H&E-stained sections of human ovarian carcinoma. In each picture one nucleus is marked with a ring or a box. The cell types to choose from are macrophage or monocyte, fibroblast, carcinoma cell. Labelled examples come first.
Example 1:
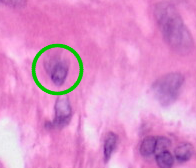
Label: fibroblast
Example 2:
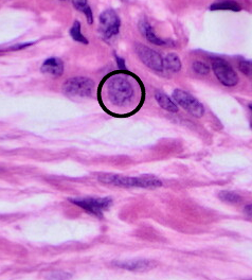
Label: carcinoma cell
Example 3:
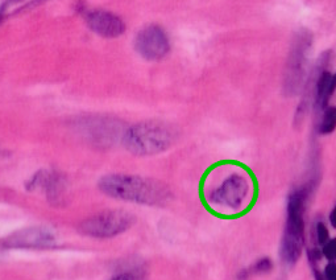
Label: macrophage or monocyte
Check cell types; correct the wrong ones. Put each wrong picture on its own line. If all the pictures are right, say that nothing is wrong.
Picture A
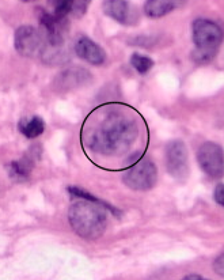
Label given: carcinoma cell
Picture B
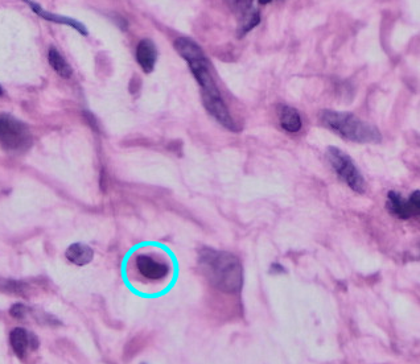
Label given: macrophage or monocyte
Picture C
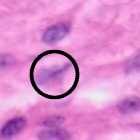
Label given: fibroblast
All labels are correct.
